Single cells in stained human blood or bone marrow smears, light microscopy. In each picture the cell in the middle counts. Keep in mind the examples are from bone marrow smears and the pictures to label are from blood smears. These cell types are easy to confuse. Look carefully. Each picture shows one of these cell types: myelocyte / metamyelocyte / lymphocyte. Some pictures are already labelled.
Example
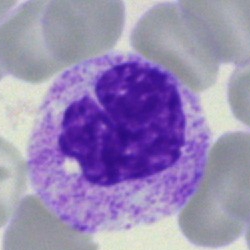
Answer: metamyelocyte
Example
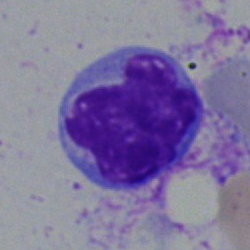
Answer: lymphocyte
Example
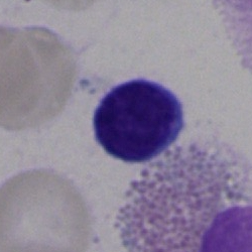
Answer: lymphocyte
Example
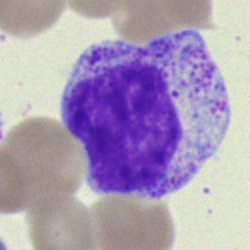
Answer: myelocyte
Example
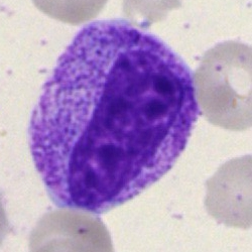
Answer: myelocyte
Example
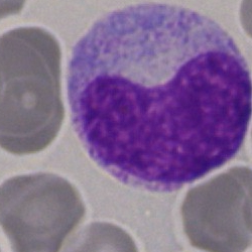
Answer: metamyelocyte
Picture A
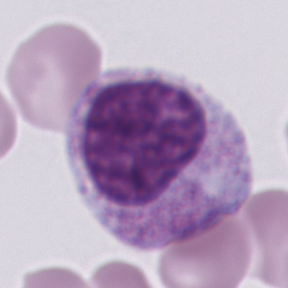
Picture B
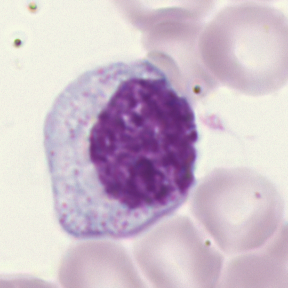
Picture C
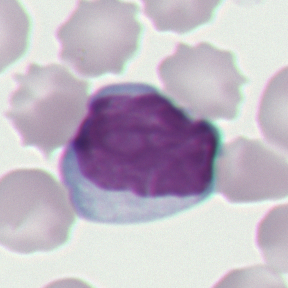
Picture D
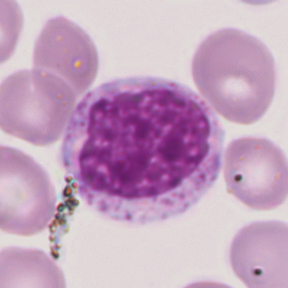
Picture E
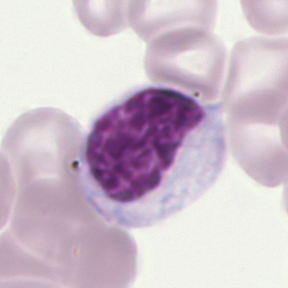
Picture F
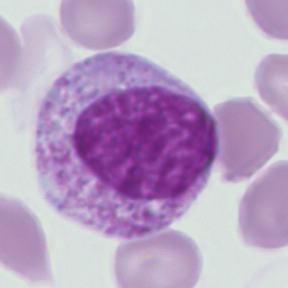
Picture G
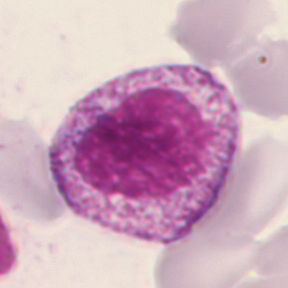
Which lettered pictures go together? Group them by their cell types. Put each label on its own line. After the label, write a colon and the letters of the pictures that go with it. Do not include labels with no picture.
myelocyte: A, B, D, F, G
metamyelocyte: E
lymphocyte: C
